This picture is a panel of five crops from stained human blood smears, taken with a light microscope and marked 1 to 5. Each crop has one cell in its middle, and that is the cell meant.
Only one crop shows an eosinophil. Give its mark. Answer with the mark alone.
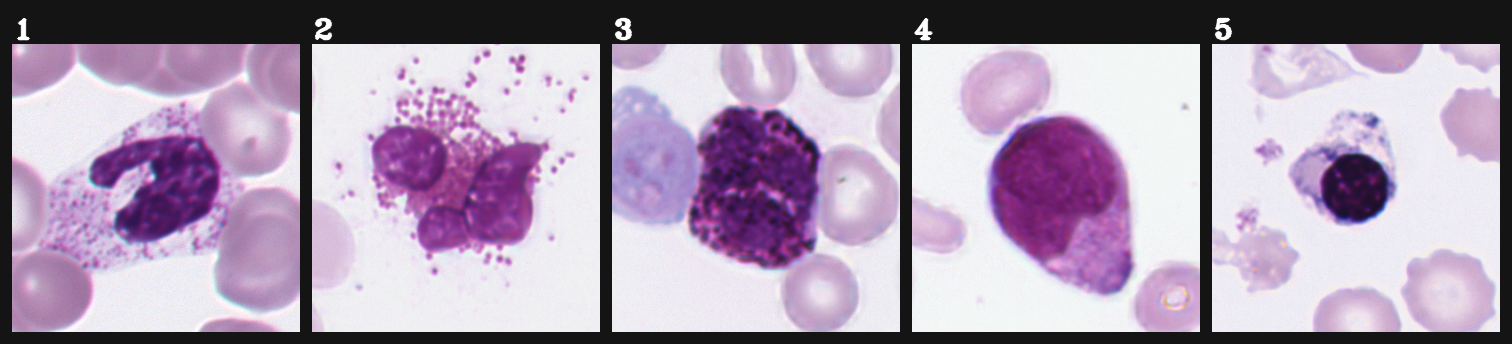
2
